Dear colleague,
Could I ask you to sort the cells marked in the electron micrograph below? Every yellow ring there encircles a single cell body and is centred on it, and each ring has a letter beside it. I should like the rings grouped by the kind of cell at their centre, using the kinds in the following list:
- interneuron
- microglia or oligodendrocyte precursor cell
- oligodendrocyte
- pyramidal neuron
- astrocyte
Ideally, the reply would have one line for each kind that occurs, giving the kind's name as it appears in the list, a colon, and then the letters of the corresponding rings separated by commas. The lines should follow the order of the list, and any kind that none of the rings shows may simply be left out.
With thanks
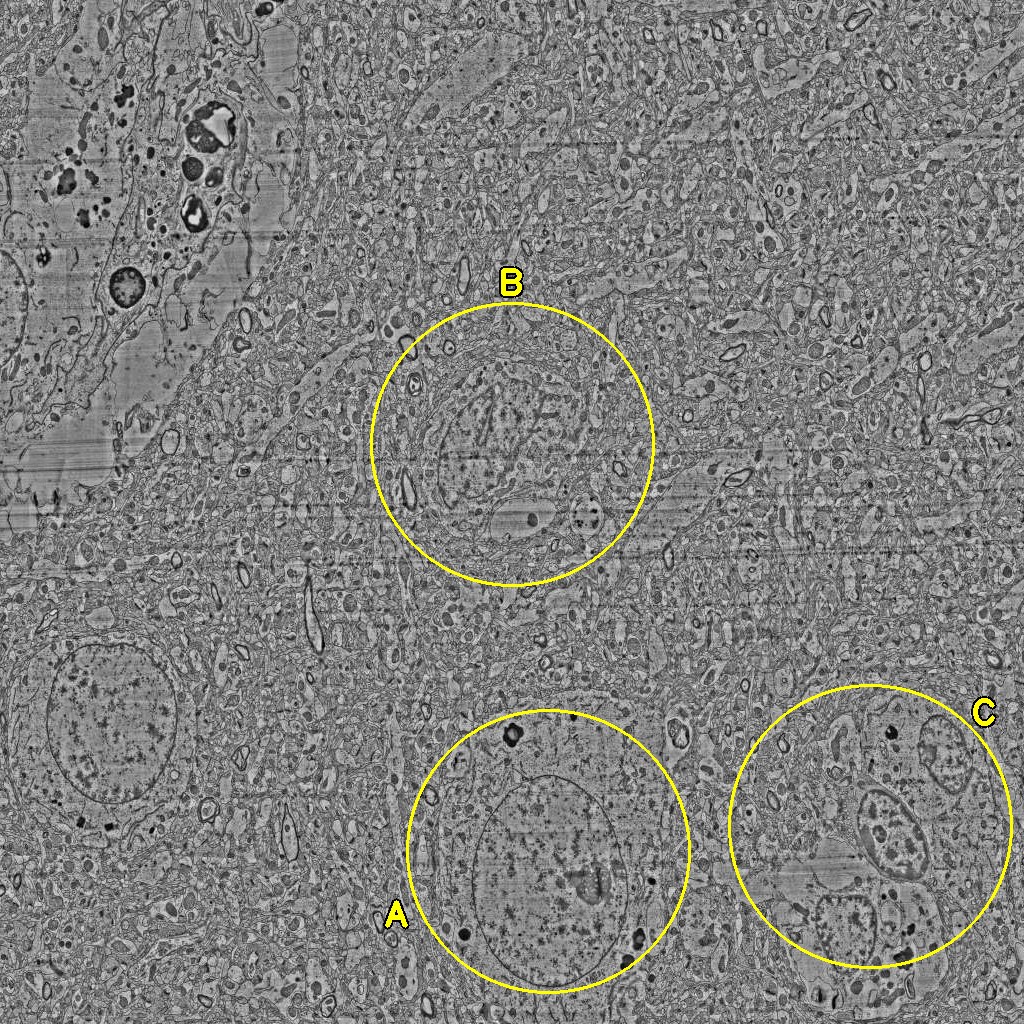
interneuron: B
oligodendrocyte: C
pyramidal neuron: A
